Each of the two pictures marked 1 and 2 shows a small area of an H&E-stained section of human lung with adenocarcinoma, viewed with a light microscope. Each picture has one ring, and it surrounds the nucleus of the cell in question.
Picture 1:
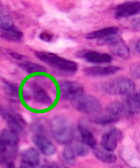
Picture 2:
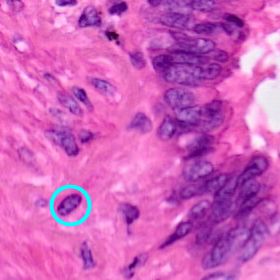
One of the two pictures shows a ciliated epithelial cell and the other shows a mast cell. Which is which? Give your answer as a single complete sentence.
The cell in picture 1 is a ciliated epithelial cell, and the one in picture 2 is a mast cell.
